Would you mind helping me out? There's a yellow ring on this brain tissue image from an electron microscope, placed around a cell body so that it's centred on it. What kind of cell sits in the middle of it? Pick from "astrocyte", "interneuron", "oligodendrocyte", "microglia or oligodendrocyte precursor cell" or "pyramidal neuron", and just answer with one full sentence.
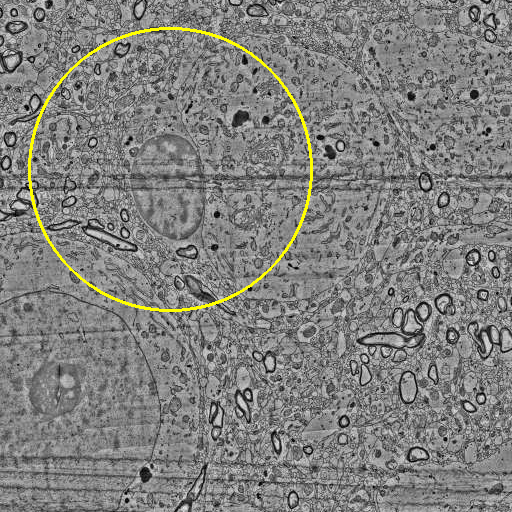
What sits in the middle of that yellow ring is an oligodendrocyte, from your choices.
